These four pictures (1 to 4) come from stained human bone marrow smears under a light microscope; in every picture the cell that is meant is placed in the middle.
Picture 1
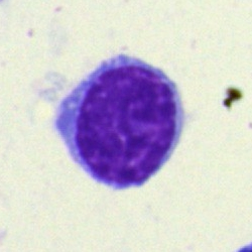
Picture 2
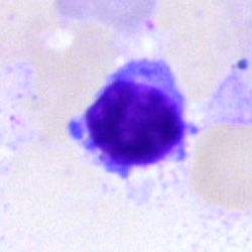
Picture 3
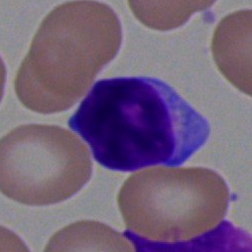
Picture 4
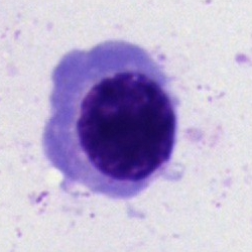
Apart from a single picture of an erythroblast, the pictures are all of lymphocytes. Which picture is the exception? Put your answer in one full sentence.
The picture with the erythroblast is 4.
